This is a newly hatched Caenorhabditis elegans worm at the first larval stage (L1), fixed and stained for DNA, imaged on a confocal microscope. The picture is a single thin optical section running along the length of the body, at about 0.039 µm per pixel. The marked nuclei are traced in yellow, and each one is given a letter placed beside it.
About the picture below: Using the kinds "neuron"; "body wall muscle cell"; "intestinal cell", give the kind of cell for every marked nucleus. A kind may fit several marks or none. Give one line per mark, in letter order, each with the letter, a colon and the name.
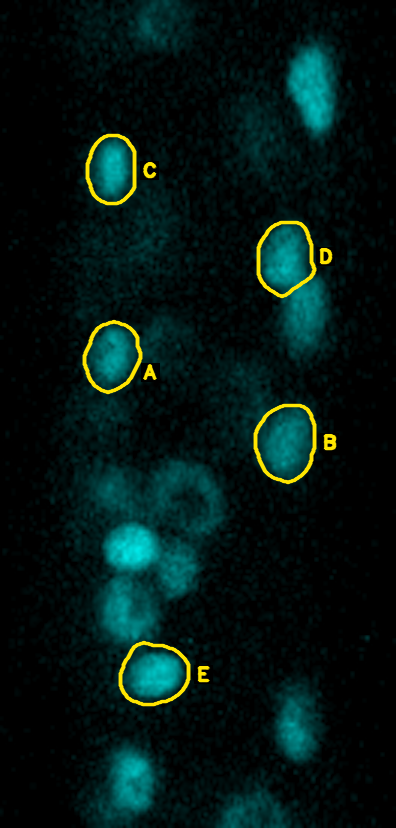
A: body wall muscle cell
B: body wall muscle cell
C: body wall muscle cell
D: neuron
E: neuron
